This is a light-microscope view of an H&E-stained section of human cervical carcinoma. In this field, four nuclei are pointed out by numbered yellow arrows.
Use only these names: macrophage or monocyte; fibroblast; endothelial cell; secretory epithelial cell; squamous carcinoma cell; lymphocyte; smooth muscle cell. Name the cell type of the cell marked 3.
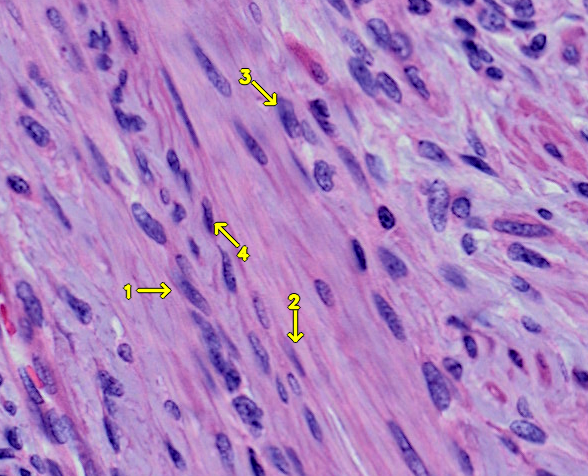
fibroblast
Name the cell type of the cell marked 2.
smooth muscle cell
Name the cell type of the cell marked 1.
smooth muscle cell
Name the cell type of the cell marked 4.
smooth muscle cell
